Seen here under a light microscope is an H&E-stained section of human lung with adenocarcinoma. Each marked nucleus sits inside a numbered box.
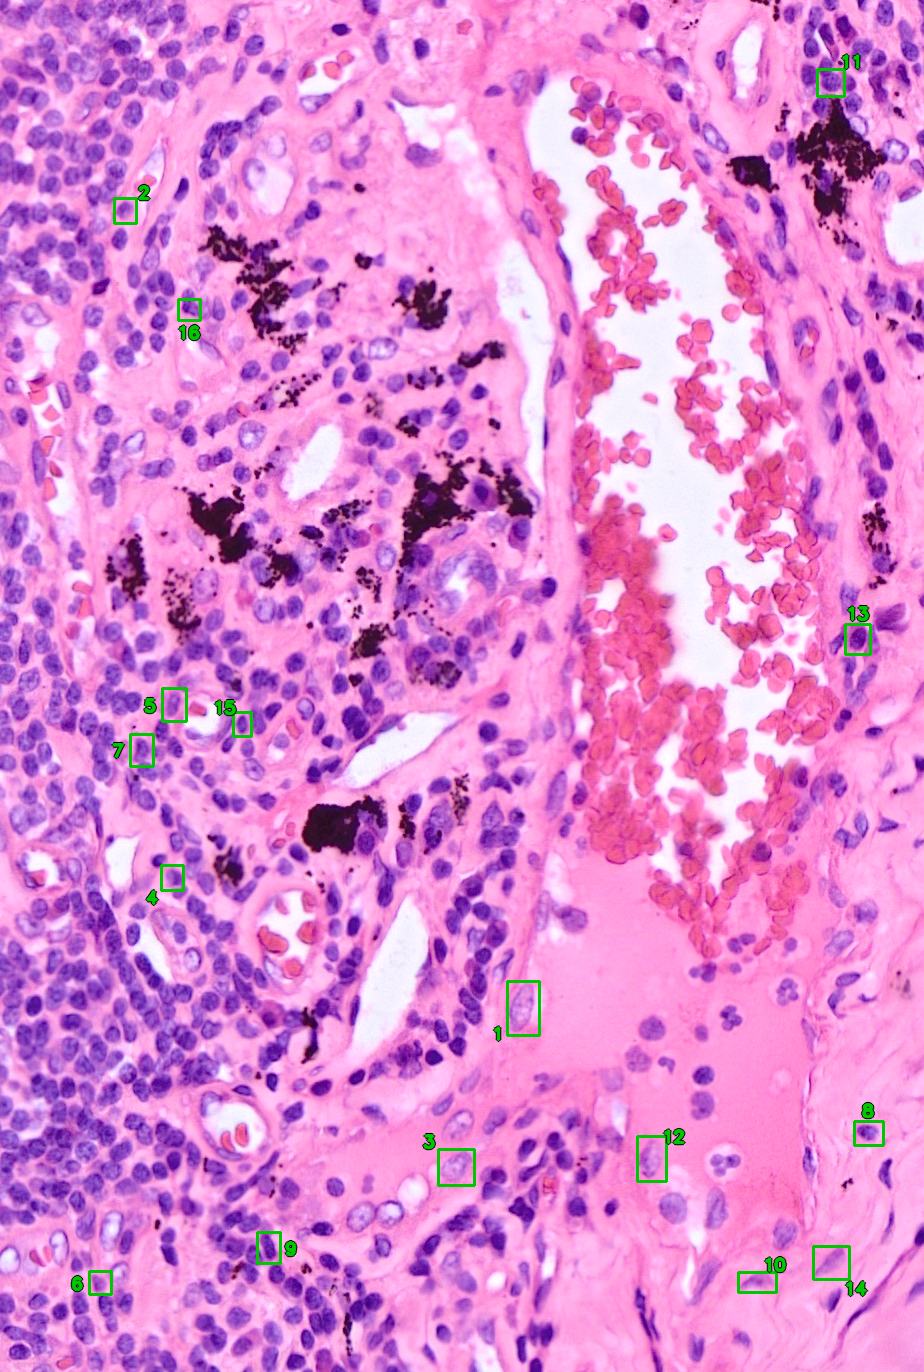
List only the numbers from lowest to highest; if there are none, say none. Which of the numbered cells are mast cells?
8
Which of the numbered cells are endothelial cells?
1, 3, 12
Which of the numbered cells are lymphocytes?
2, 4, 5, 6, 7, 9, 11, 15, 16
